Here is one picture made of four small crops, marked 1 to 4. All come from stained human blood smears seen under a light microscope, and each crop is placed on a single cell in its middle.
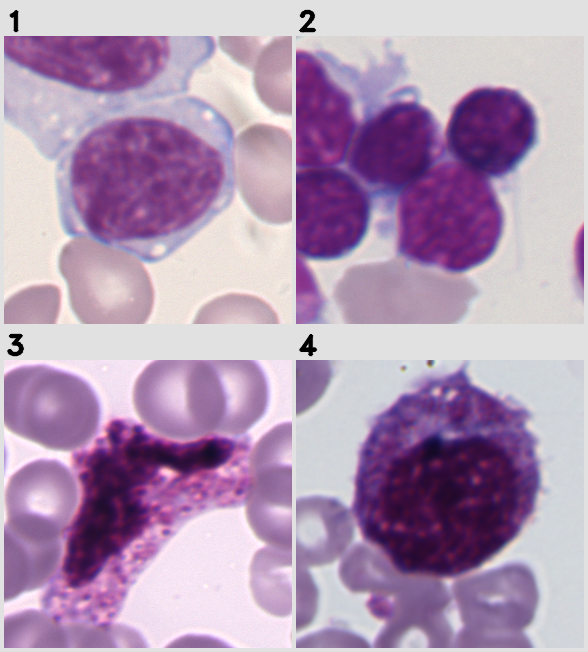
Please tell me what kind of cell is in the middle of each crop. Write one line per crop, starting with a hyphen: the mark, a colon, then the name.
- 1: myeloblast
- 2: myeloblast
- 3: basophil
- 4: promyelocyte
